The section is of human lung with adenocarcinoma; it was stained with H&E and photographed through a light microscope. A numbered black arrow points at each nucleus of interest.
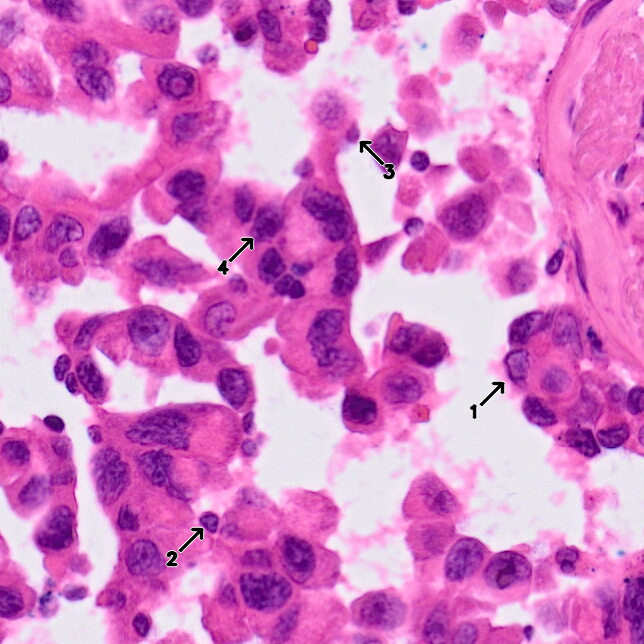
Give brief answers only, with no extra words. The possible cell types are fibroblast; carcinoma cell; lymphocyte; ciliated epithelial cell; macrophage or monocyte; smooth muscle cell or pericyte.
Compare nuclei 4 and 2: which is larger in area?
4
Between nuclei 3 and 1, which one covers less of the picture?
3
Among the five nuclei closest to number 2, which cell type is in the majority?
carcinoma cell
